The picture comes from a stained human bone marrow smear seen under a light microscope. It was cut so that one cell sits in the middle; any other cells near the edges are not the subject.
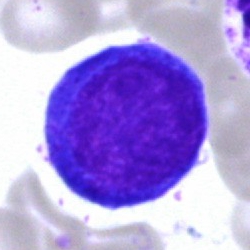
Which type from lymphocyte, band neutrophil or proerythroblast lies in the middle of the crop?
proerythroblast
